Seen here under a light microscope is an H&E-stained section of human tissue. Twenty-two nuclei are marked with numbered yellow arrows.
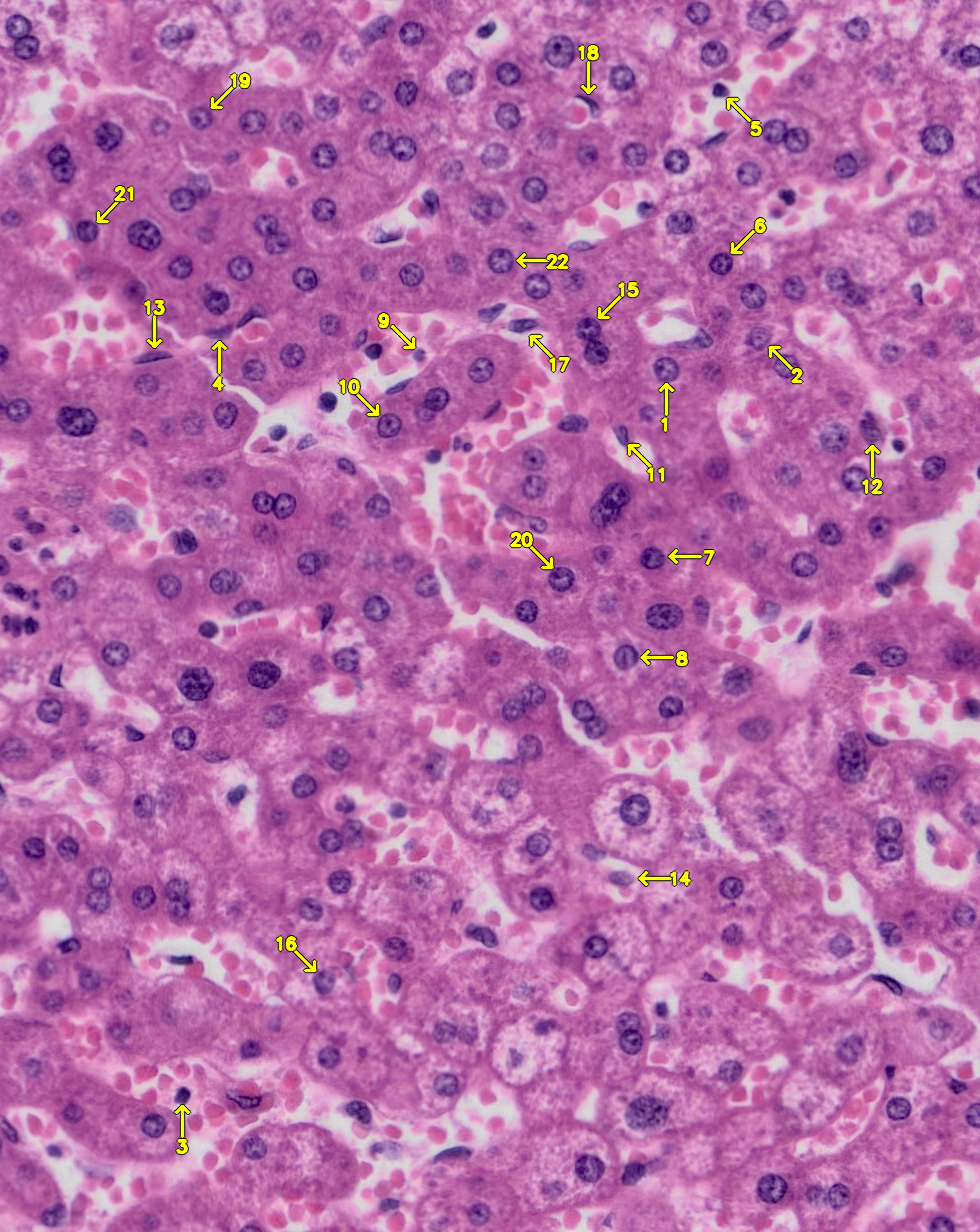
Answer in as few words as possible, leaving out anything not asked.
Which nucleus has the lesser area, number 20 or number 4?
4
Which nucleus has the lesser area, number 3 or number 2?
3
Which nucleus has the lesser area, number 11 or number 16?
11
